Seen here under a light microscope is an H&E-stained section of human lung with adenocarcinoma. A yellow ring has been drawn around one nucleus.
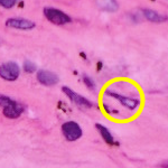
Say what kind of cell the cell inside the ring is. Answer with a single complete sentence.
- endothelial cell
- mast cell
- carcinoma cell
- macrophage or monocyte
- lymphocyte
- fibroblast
The cell inside the ring appears to be a fibroblast.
